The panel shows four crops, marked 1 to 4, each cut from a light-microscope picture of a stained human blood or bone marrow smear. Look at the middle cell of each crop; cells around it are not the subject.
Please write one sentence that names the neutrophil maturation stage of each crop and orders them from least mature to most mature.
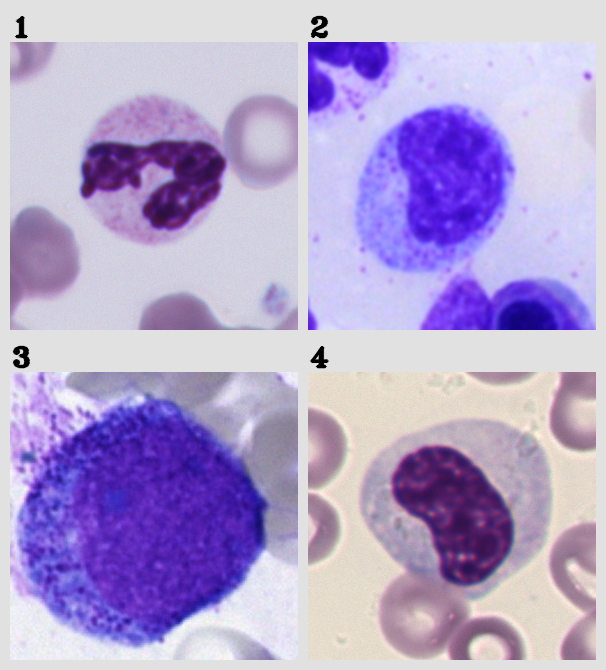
From least to most mature, the order is crop 3 (a promyelocyte), crop 2 (a myelocyte), crop 4 (a band neutrophil) and crop 1 (a segmented neutrophil).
